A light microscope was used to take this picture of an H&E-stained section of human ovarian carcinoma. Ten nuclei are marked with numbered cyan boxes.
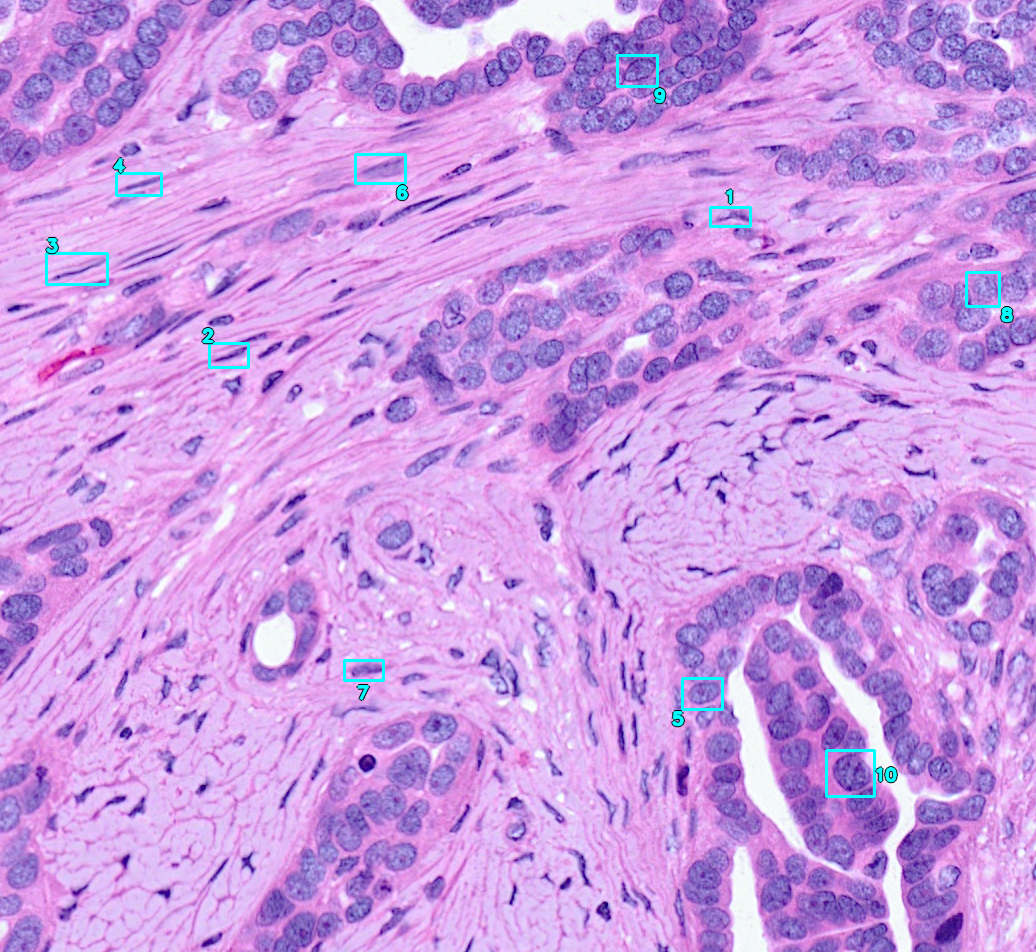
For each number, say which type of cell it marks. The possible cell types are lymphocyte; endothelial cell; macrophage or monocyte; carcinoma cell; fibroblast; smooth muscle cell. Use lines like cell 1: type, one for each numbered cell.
cell 1: fibroblast
cell 2: fibroblast
cell 3: fibroblast
cell 4: fibroblast
cell 5: carcinoma cell
cell 6: fibroblast
cell 7: fibroblast
cell 8: carcinoma cell
cell 9: carcinoma cell
cell 10: carcinoma cell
